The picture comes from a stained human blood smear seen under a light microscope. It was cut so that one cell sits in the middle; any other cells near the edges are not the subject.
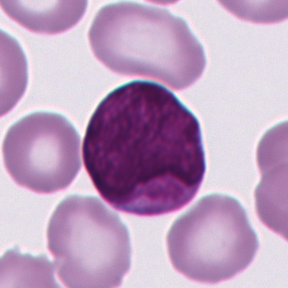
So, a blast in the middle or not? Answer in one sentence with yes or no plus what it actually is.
Yes, the cell lying in the middle is a blast.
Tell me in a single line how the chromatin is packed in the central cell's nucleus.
Its nuclear chromatin is gathered into coarse clumps.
